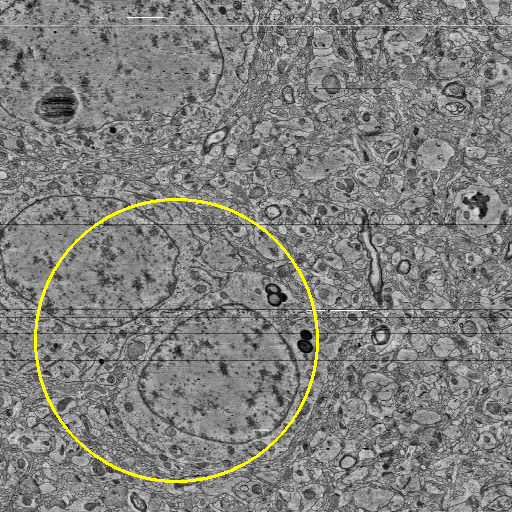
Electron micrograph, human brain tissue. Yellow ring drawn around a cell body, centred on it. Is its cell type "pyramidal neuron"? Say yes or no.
yes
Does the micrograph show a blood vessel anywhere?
No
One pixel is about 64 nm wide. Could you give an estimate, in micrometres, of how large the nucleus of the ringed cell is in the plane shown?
Roughly 10 micrometers across, in this plane.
